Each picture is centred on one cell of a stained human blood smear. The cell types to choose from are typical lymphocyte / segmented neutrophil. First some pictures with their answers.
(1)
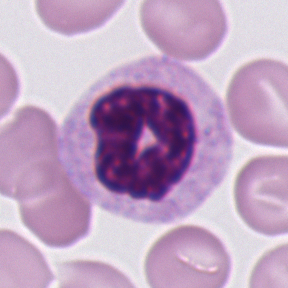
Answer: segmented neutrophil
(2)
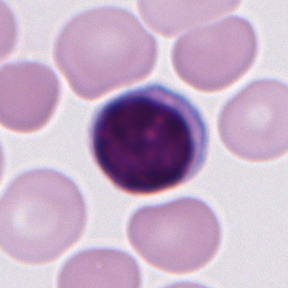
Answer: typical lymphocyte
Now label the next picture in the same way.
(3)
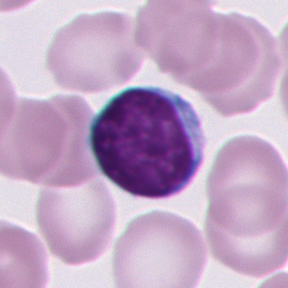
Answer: typical lymphocyte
